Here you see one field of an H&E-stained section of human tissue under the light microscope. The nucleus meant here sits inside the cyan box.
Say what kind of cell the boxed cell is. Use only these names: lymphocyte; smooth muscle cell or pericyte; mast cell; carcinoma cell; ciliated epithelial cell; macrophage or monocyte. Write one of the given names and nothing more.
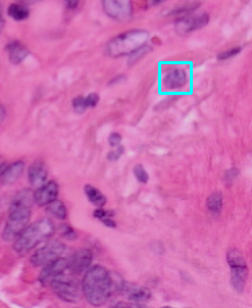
mast cell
